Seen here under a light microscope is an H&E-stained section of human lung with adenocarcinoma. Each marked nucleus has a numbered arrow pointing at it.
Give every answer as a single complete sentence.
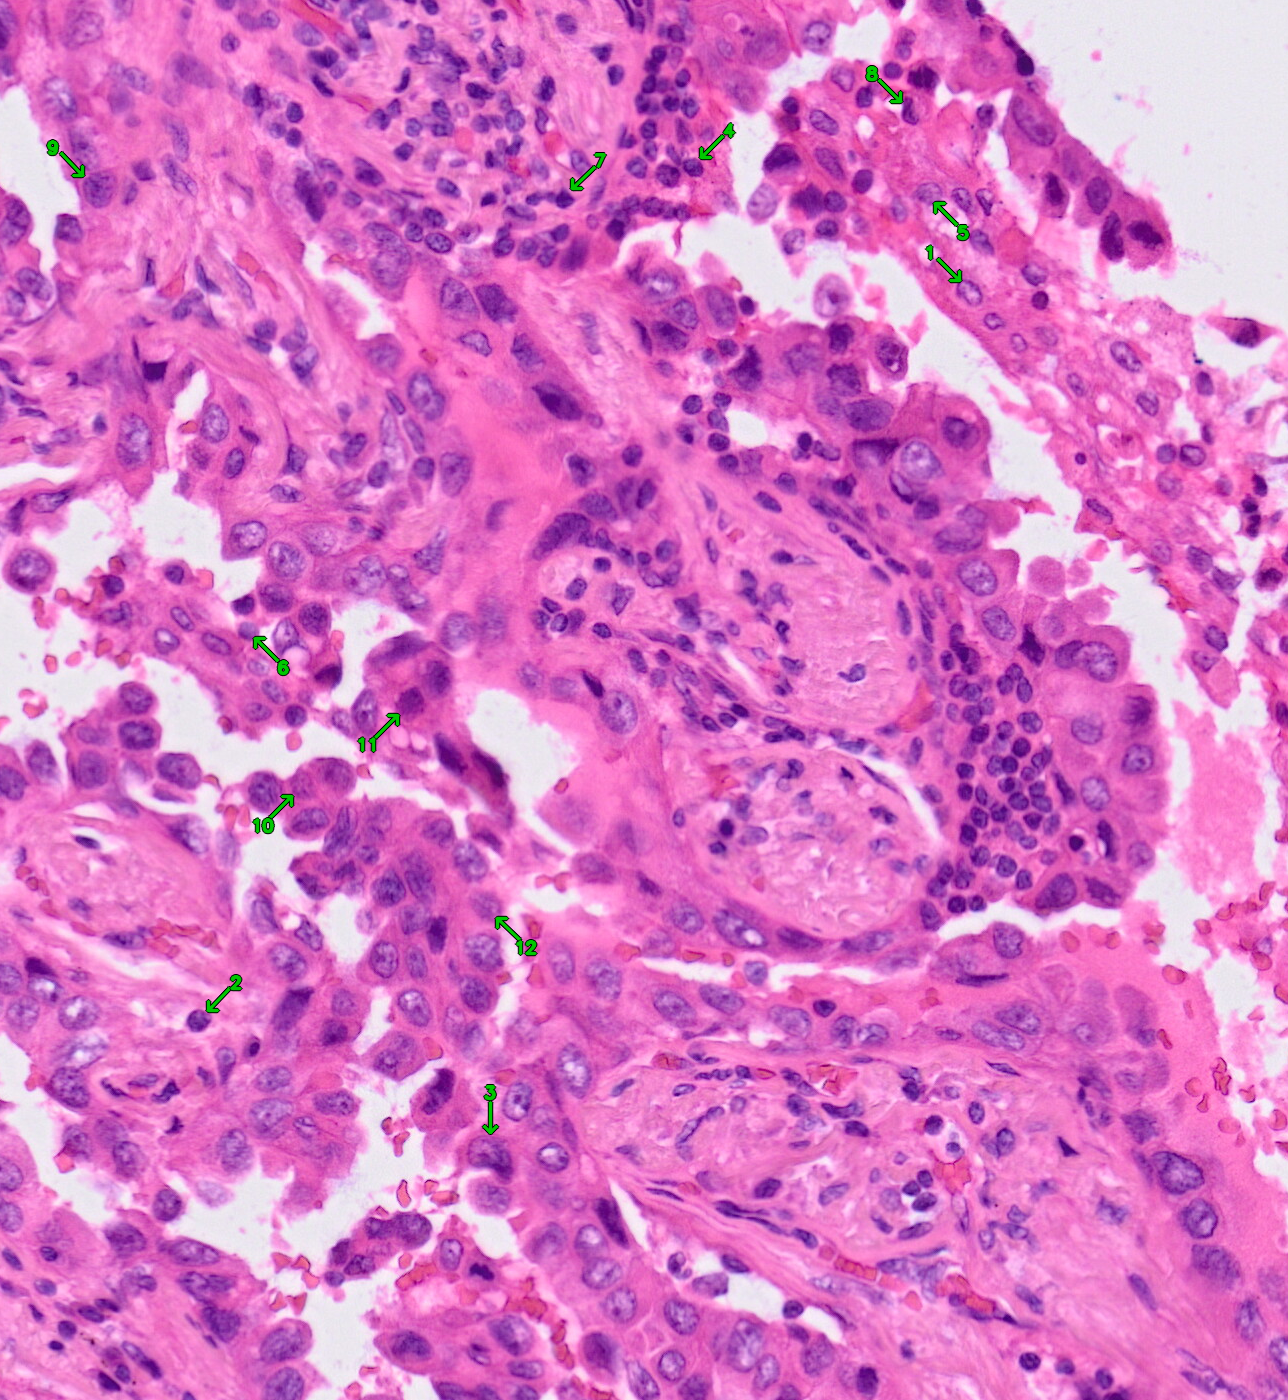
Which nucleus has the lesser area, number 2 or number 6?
Nucleus 6 is the smaller one; nucleus 2 covers about 1.5 times its area.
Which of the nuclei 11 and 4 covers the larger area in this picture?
Nucleus 11 is larger, with an area about 2.5 times that of nucleus 4.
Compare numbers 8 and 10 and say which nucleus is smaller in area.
The smaller nucleus is 8, and 10 covers roughly 1.5 times its area.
